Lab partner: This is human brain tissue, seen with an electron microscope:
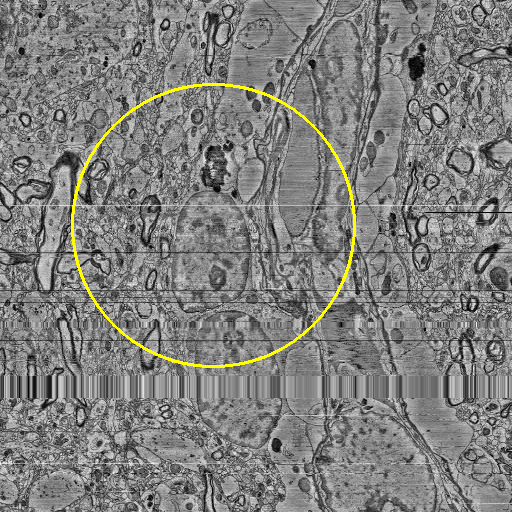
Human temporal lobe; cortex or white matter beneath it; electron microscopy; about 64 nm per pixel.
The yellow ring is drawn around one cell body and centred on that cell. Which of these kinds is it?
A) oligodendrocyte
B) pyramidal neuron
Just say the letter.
A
